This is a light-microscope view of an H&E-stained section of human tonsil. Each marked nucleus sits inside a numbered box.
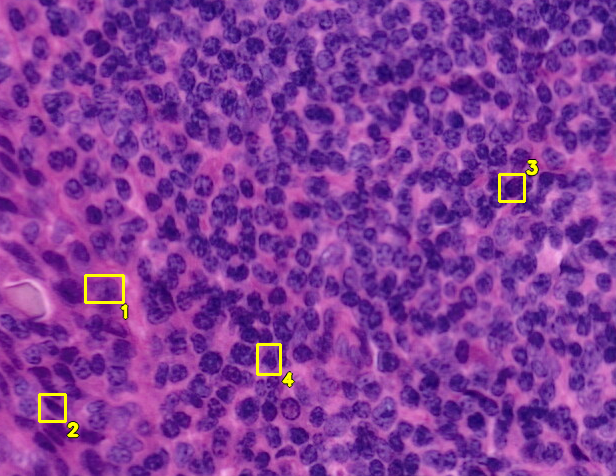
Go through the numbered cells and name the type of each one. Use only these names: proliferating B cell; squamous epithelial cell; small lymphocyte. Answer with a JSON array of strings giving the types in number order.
["squamous epithelial cell", "squamous epithelial cell", "small lymphocyte", "small lymphocyte"]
